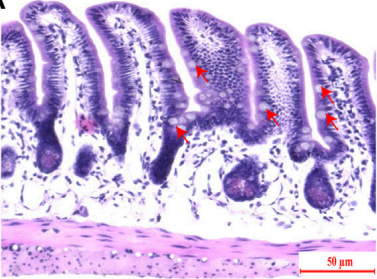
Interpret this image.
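Finger-like mucosal folds are lined by a single layer of tall columnar epithelial cells with purple nuclei, among which lie scattered pale, rounded, clear cells. The cores of the folds hold loosely packed lamina propria cells, gland-like crypts sit at their base, and a pink muscle layer runs along the bottom. The pale cells in the epithelium are goblet cells.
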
